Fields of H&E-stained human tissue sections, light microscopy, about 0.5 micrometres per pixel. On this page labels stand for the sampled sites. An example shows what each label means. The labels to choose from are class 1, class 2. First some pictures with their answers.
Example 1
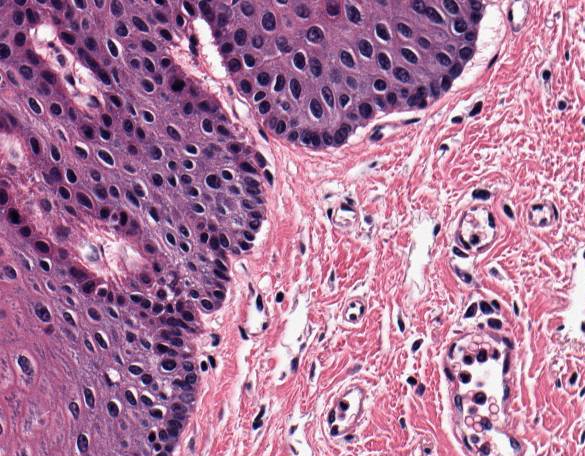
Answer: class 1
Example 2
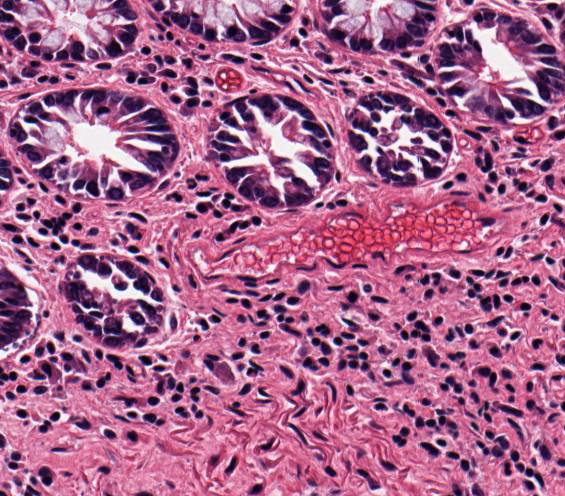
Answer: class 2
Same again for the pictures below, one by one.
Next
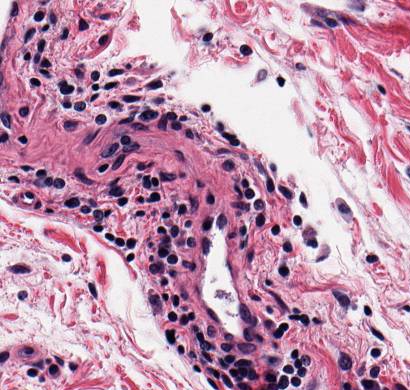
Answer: class 2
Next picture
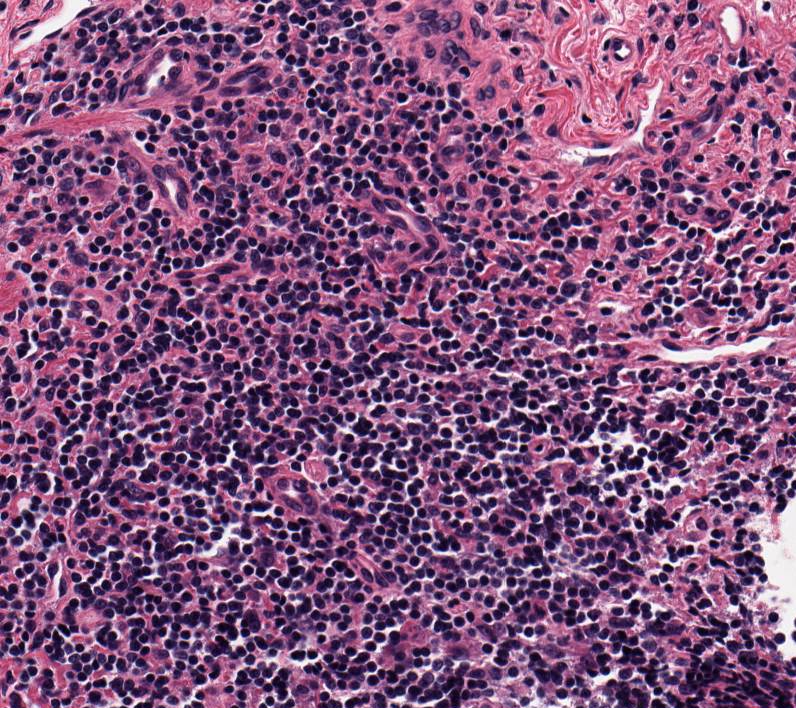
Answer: class 2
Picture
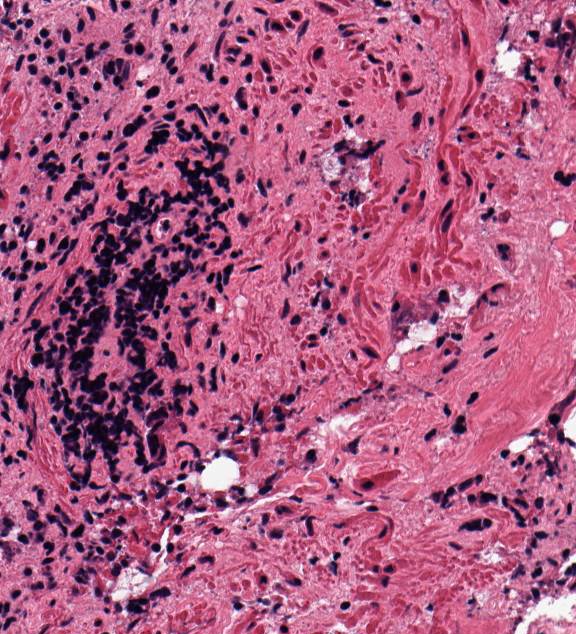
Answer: class 2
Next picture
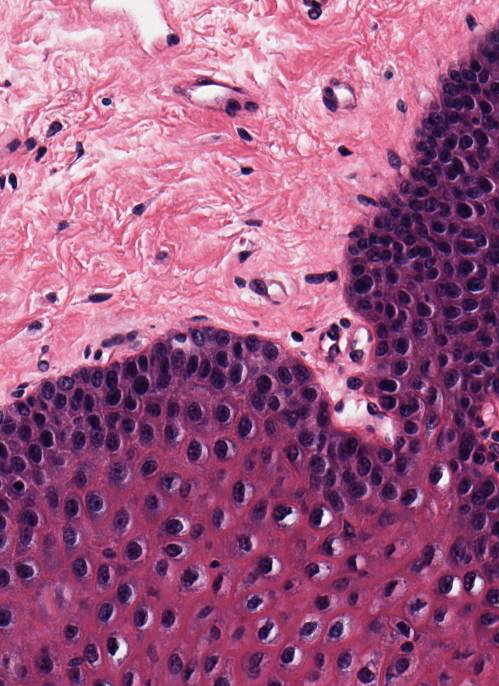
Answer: class 1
